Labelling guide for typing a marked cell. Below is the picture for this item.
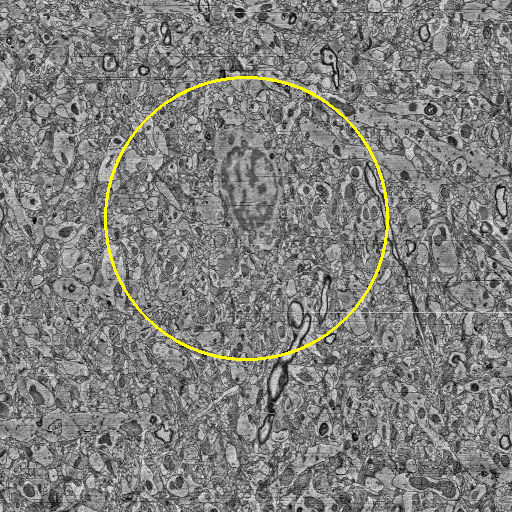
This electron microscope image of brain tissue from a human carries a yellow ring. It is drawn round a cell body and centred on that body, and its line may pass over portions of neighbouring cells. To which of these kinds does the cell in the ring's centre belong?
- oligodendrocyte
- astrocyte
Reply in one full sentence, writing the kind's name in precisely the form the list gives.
Here we have an oligodendrocyte at the centre of the yellow ring in the picture.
